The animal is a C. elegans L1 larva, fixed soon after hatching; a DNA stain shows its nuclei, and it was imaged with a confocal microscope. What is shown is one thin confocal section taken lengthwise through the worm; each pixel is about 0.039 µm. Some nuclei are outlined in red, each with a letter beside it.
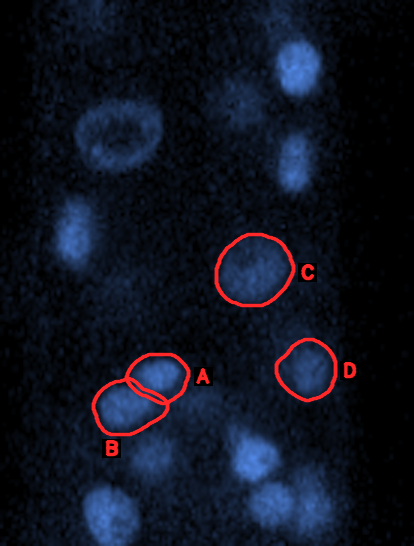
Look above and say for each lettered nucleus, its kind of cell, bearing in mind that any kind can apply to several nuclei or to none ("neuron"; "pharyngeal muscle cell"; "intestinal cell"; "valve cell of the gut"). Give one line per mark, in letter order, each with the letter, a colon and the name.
A: valve cell of the gut
B: valve cell of the gut
C: intestinal cell
D: neuron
